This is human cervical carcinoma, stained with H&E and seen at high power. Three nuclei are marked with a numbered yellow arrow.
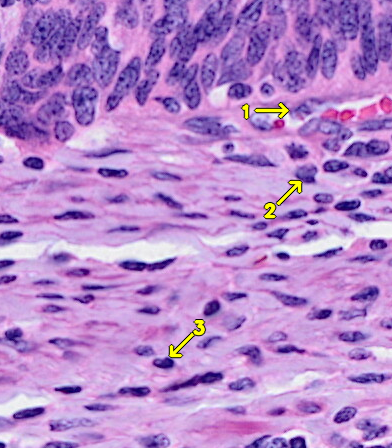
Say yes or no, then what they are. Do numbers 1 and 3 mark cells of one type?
No, cell 1 is an endothelial cell and cell 3 is a lymphocyte.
